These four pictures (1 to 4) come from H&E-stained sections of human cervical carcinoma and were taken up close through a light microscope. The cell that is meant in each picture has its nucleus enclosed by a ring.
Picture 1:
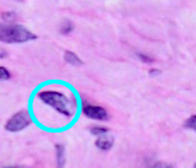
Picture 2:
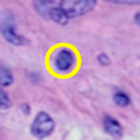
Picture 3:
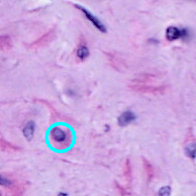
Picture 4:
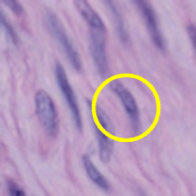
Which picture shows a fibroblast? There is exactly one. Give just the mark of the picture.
1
